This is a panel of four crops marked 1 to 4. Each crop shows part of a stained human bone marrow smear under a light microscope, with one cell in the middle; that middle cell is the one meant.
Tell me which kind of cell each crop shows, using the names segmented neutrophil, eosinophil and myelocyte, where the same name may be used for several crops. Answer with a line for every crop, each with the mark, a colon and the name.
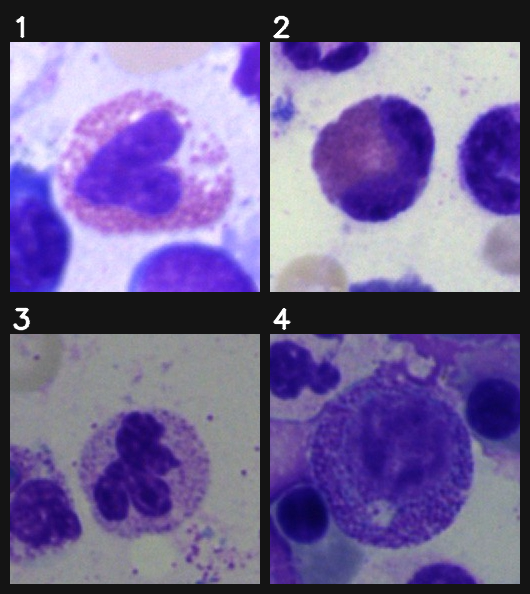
1: eosinophil
2: eosinophil
3: segmented neutrophil
4: myelocyte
